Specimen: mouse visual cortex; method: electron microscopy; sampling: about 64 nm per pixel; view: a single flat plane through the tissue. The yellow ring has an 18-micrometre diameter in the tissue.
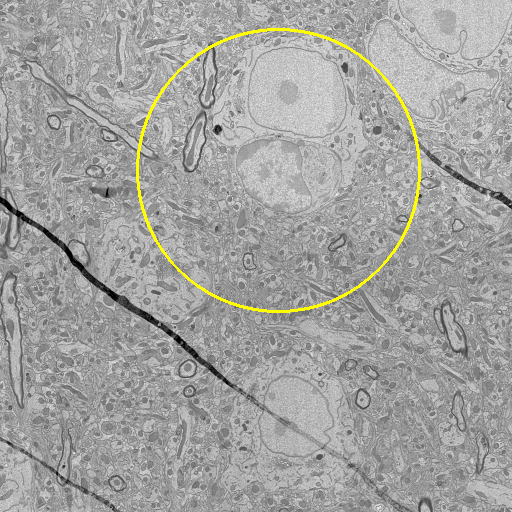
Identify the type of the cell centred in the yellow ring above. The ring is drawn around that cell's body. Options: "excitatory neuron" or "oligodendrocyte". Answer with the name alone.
oligodendrocyte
